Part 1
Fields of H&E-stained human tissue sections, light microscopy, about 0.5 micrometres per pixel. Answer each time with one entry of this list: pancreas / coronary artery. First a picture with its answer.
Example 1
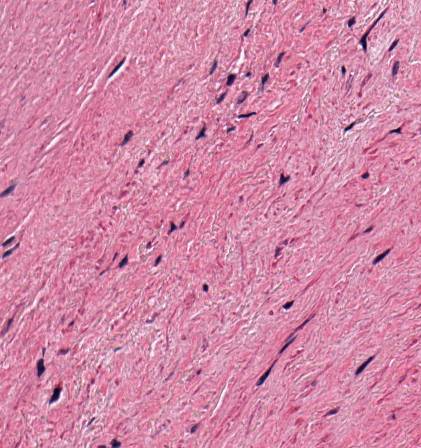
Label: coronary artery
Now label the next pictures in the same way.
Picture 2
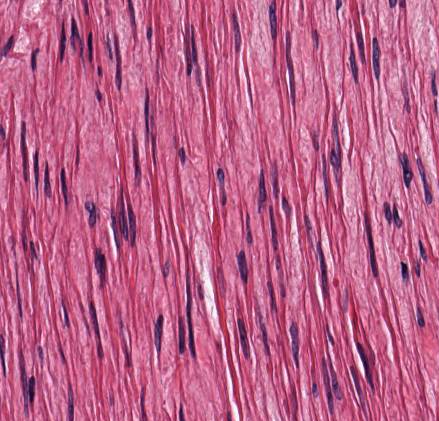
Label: coronary artery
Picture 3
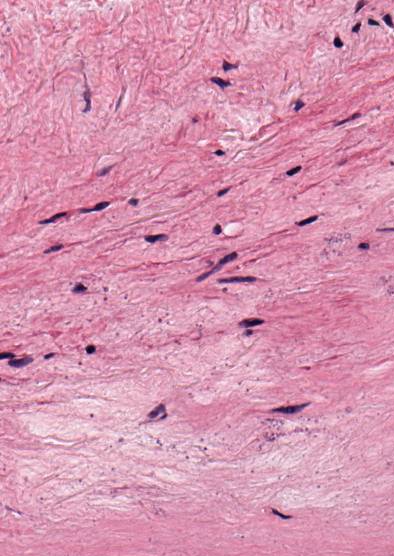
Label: coronary artery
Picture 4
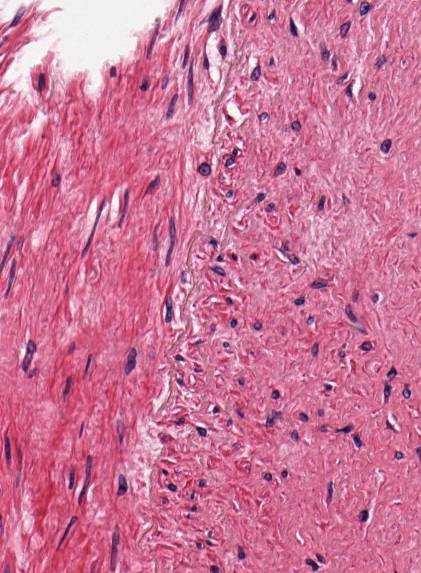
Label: coronary artery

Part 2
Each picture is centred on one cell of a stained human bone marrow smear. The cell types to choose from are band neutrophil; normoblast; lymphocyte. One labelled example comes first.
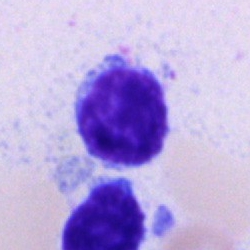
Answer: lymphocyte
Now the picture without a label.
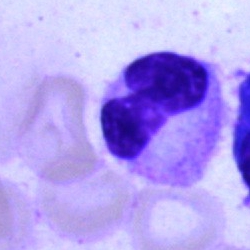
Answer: band neutrophil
